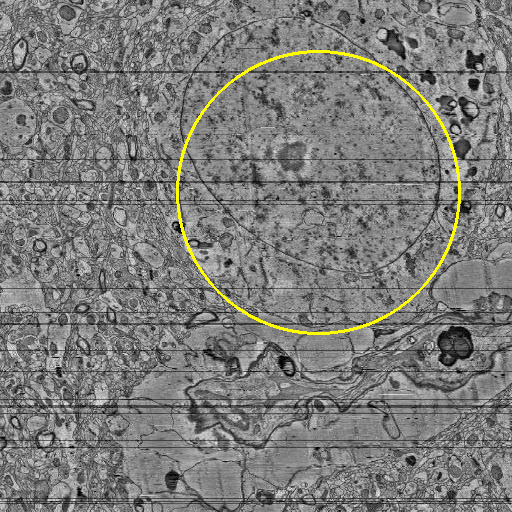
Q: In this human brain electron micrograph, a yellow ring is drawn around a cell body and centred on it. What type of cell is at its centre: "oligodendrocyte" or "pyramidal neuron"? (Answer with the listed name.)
pyramidal neuron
